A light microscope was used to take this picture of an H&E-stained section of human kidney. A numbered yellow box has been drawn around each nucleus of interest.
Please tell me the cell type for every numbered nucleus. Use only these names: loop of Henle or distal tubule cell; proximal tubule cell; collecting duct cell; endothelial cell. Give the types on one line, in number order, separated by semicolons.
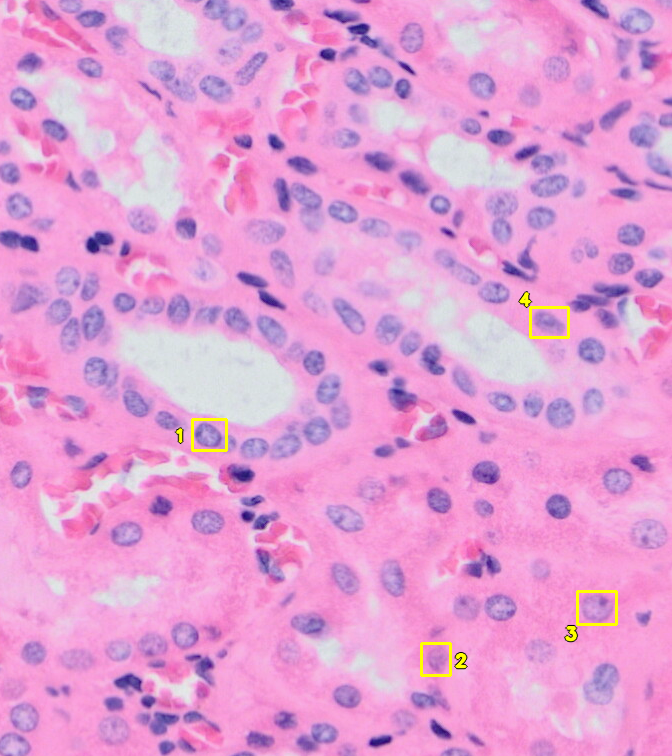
collecting duct cell; proximal tubule cell; proximal tubule cell; collecting duct cell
